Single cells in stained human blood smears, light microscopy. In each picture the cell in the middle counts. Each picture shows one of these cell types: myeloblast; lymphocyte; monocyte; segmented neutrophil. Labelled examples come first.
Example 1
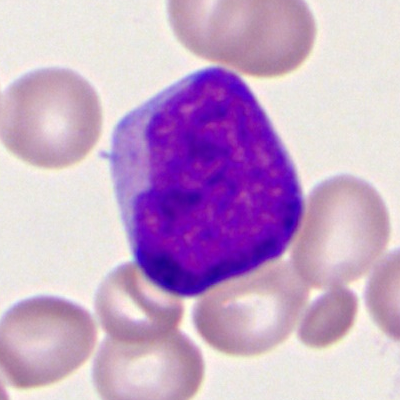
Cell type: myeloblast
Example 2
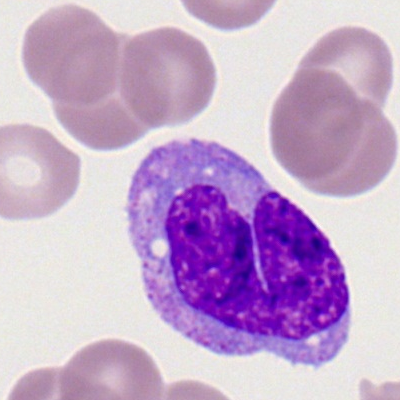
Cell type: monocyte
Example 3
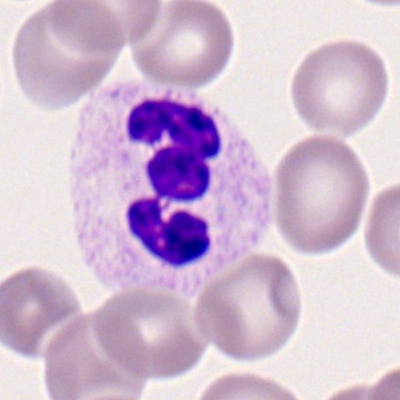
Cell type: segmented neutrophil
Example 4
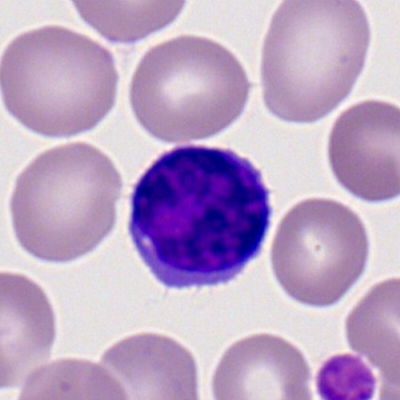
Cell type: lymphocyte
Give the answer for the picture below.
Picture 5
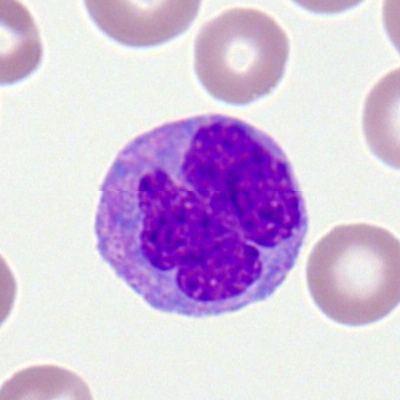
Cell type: monocyte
